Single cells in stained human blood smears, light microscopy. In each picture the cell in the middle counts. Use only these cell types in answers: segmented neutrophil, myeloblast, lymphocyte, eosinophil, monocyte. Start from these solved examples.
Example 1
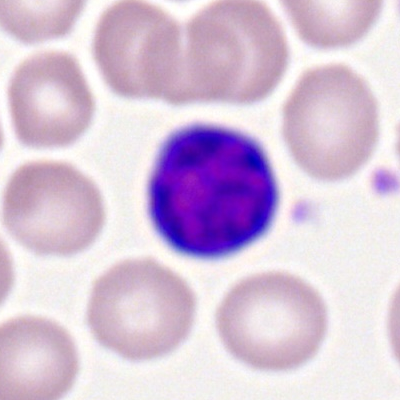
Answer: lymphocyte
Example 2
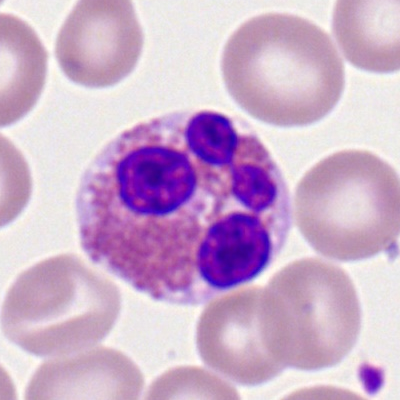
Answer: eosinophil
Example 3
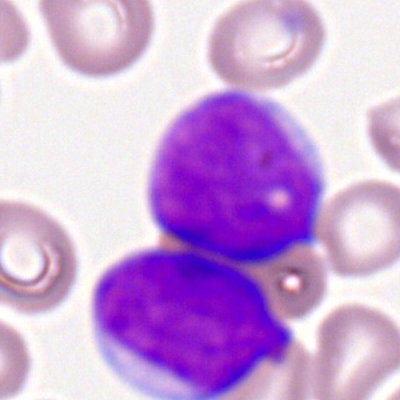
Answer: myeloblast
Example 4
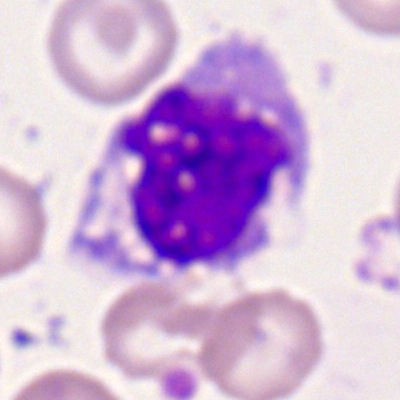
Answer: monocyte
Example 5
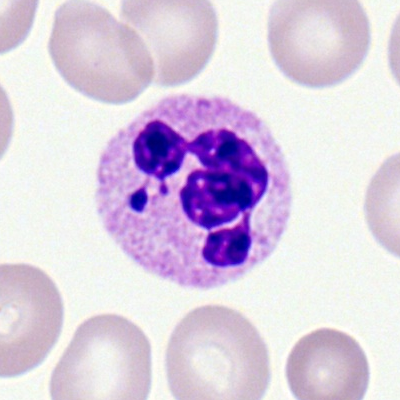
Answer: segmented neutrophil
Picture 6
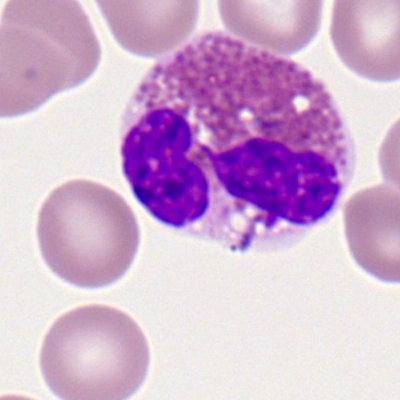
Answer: eosinophil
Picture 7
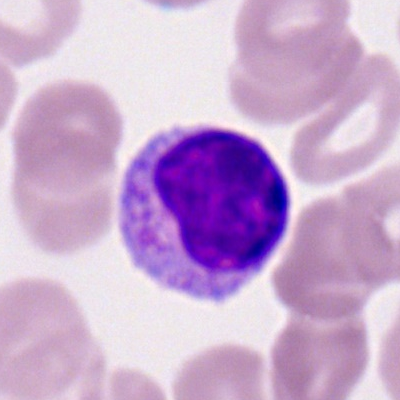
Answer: lymphocyte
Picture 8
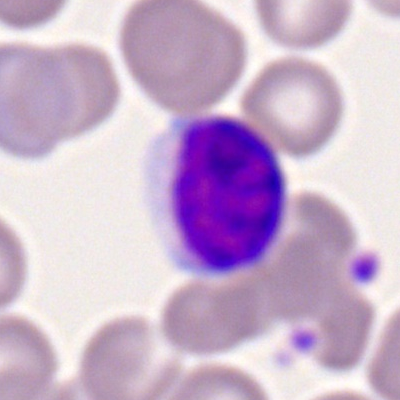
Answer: lymphocyte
